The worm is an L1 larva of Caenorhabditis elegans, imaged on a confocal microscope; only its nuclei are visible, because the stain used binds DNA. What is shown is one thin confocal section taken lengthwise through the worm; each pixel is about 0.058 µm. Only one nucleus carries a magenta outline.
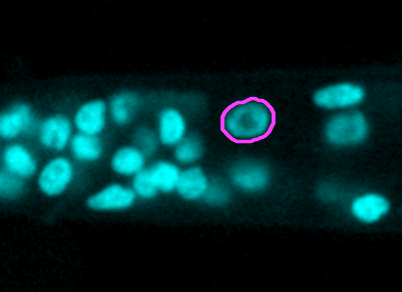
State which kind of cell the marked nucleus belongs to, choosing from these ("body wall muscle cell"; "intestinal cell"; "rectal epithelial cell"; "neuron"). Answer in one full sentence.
The marked nucleus belongs to an intestinal cell.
